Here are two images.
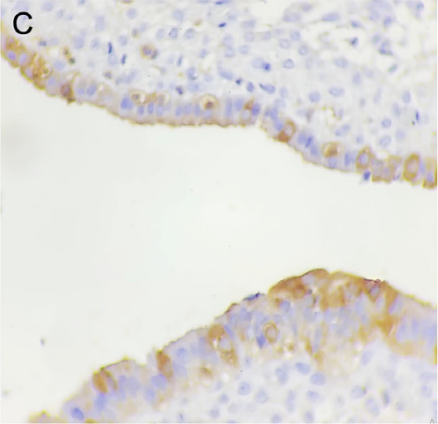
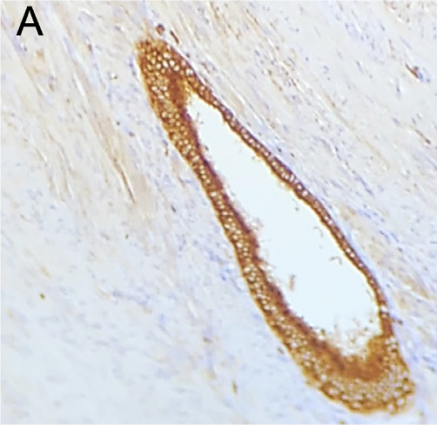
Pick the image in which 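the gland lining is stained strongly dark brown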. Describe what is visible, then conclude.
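First image: the lining cells show only a faint, patchy brown tint with blue nuclei visible. Second image: the whole gland lining is dense dark brown.
Conclusion: the second image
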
